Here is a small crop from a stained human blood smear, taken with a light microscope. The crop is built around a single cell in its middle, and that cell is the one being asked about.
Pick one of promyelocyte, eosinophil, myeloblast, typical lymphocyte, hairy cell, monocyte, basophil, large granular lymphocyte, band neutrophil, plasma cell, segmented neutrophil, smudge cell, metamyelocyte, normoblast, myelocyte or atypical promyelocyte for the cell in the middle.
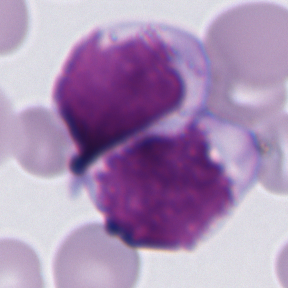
large granular lymphocyte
